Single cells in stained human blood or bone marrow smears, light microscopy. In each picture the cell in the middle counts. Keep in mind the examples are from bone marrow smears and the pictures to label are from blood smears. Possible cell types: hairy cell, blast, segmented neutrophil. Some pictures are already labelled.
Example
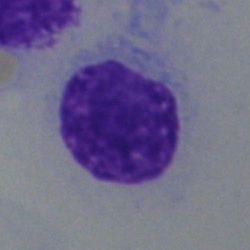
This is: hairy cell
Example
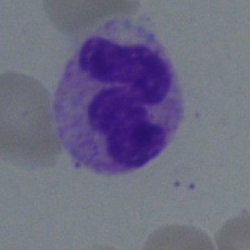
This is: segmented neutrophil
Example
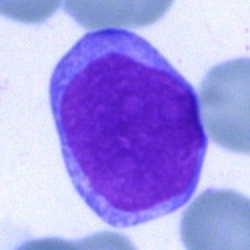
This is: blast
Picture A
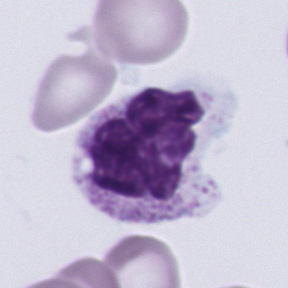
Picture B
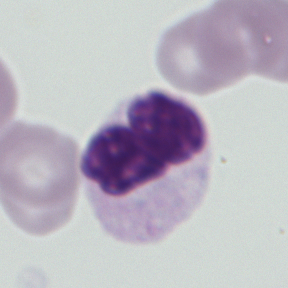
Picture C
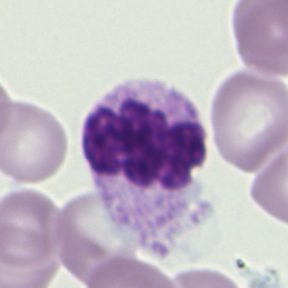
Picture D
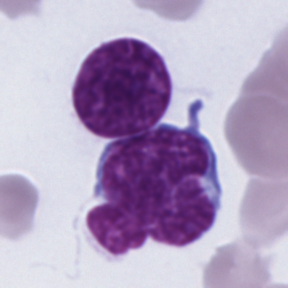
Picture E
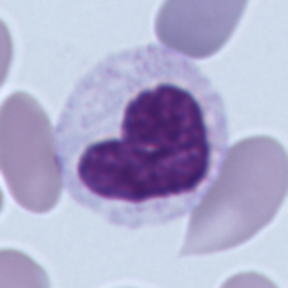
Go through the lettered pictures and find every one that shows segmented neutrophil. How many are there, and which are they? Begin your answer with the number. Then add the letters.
4, namely A, B, C, E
